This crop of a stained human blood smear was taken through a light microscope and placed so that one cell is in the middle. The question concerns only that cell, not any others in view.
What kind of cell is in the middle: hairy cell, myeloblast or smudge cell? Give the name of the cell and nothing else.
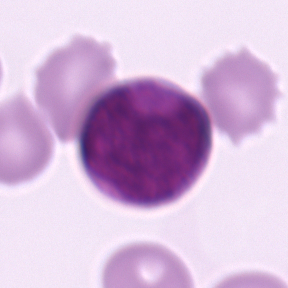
myeloblast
